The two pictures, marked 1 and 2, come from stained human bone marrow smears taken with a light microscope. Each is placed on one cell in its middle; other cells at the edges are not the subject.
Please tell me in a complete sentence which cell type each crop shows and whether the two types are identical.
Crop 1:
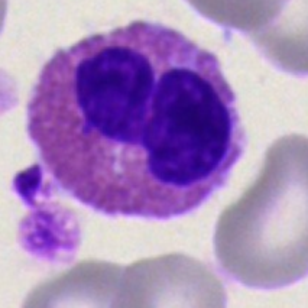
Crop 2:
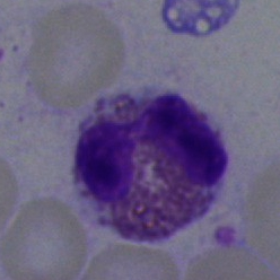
Yes, eosinophils are what the two crops show.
